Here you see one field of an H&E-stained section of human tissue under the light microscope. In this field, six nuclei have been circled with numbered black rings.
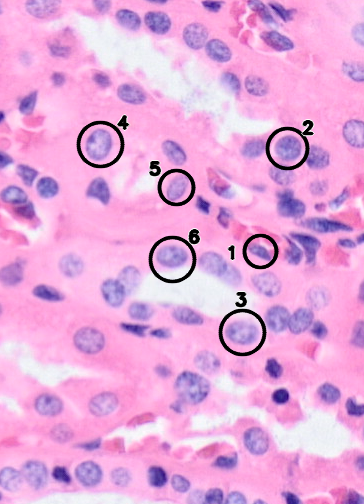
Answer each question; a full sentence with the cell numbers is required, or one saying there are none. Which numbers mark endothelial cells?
In this set of numbered cells, only cell 1 is an endothelial cell.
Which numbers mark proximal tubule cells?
The cells given the numbers 4 and 5 are proximal tubule cells.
